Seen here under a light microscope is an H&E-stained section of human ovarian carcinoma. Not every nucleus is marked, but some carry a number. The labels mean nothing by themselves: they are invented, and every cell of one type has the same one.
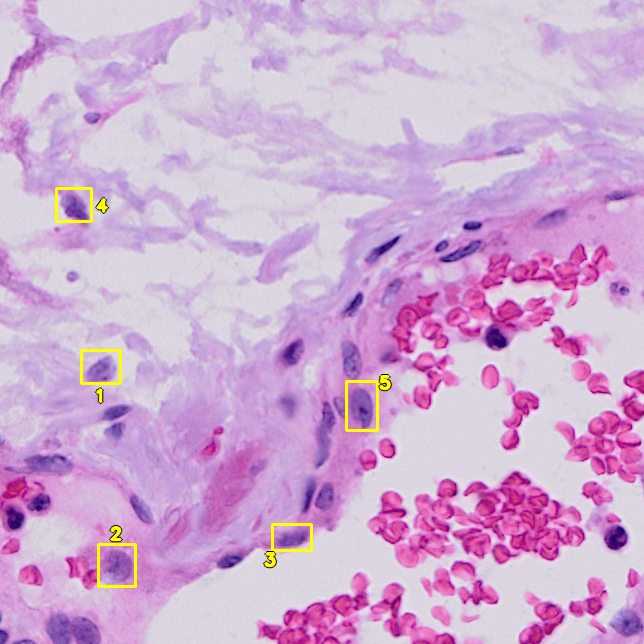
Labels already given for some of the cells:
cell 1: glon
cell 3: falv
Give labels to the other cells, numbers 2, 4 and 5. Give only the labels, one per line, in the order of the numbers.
falv
glon
falv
